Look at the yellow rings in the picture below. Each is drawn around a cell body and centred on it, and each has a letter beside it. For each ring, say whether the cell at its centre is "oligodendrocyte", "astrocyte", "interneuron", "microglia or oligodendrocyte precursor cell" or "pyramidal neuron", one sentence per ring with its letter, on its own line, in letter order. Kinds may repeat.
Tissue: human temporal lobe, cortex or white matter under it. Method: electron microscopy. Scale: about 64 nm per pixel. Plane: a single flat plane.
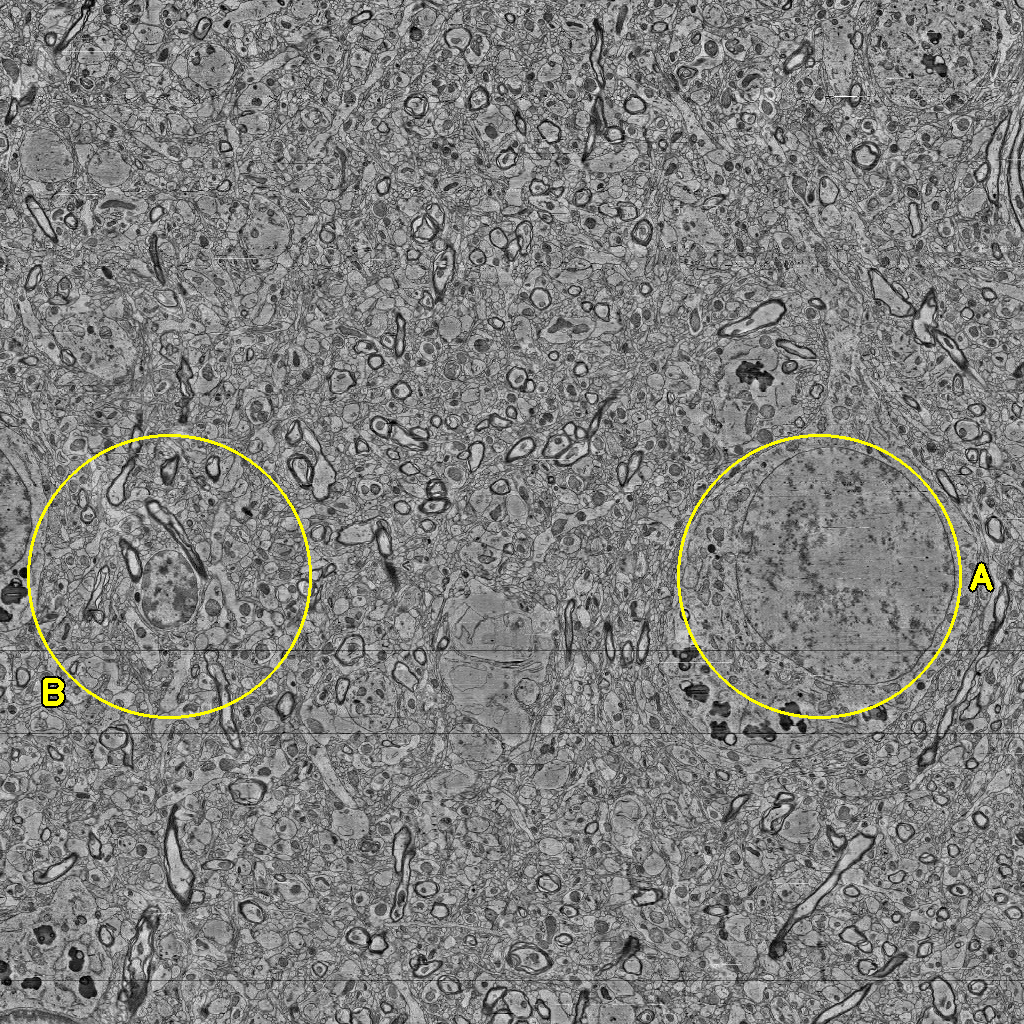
The centred cell of ring A is a pyramidal neuron.
The centred cell of ring B is a microglial cell or oligodendrocyte precursor cell.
